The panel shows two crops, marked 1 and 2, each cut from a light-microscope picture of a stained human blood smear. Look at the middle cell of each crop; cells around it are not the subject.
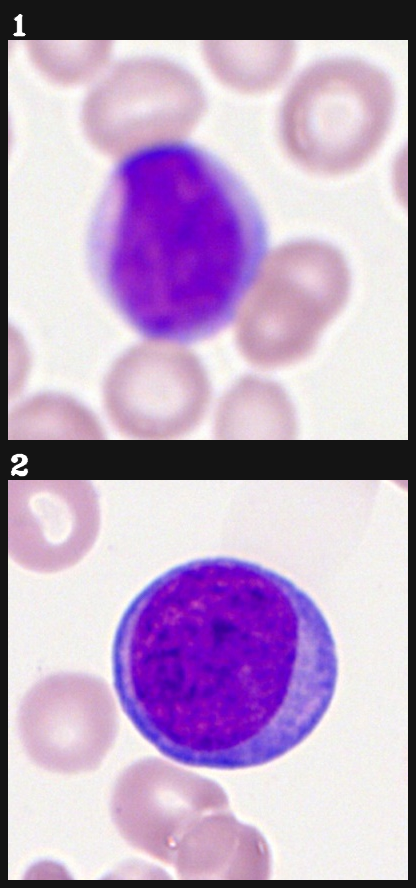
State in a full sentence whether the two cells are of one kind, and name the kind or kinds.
Yes, the cells at the centre of both crops are myeloblasts.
